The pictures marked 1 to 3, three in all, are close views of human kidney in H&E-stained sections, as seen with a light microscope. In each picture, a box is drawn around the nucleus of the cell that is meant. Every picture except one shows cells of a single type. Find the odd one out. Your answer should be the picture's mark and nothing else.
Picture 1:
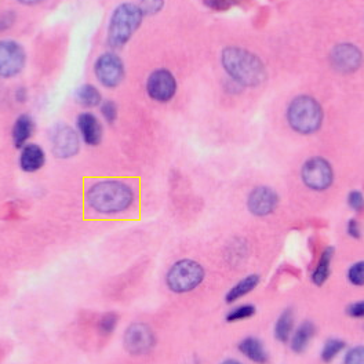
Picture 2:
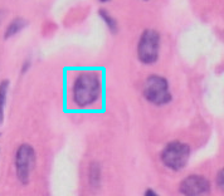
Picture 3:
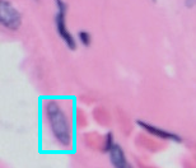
3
